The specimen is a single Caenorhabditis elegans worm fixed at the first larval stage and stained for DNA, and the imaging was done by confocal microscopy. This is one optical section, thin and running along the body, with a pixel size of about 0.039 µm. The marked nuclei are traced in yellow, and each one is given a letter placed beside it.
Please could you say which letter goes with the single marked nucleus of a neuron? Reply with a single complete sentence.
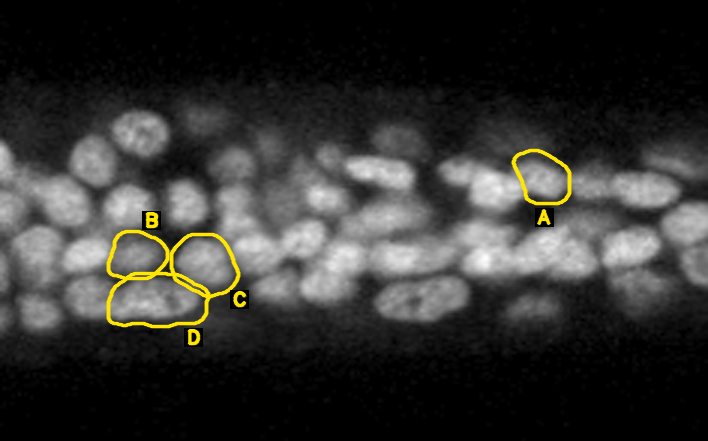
The nucleus of a neuron is B.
